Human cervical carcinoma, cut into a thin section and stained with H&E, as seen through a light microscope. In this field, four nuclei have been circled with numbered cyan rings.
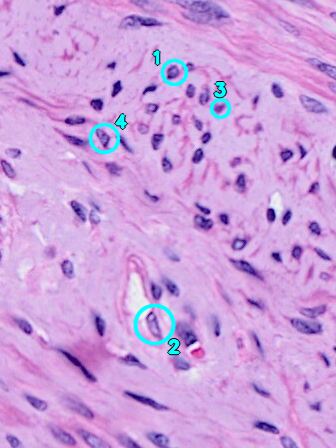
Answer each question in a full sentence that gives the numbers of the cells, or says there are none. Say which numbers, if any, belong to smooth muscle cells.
Cells 1, 3 and 4 are of one type, namely smooth muscle cells.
